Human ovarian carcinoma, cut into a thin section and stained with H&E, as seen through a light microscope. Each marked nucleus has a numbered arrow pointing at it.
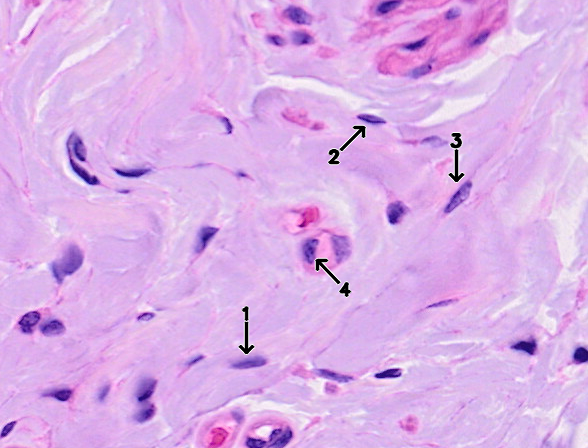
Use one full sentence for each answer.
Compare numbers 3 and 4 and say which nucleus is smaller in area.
Nucleus 4 is the smaller one; nucleus 3 covers about 2 times its area.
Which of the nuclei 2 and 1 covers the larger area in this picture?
Nucleus 1 is the larger one, covering about 2 times the area of nucleus 2.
